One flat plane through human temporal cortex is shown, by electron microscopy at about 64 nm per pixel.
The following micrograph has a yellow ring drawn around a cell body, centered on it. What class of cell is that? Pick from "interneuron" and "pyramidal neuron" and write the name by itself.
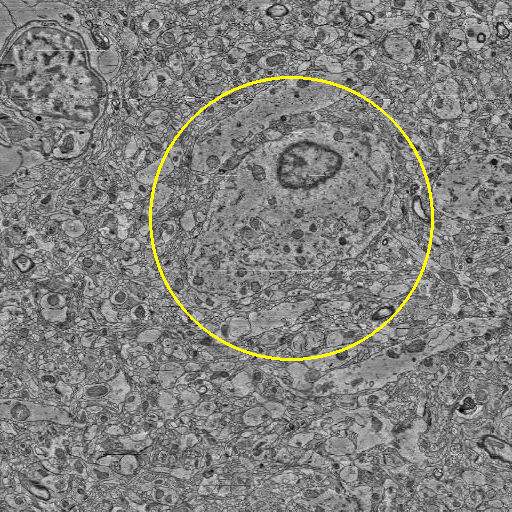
pyramidal neuron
